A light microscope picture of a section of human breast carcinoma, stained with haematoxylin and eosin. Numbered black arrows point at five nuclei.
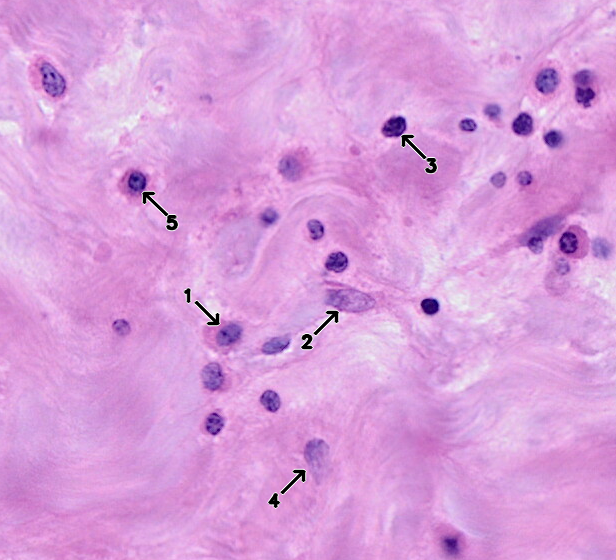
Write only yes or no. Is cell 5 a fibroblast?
no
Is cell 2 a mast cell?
no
